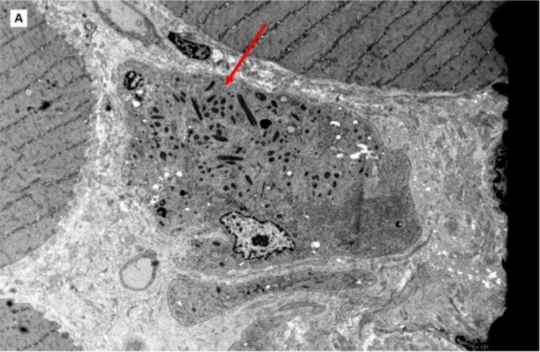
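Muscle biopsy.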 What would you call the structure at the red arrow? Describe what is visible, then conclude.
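Nemaline rods. The fiber in the center contains many small electron-dense dark rod- and dot-shaped bodies. The dark bodies lie scattered within the fiber's cytoplasm.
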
